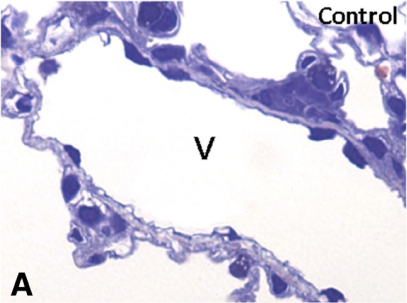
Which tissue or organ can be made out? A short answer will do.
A: Lung tissue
